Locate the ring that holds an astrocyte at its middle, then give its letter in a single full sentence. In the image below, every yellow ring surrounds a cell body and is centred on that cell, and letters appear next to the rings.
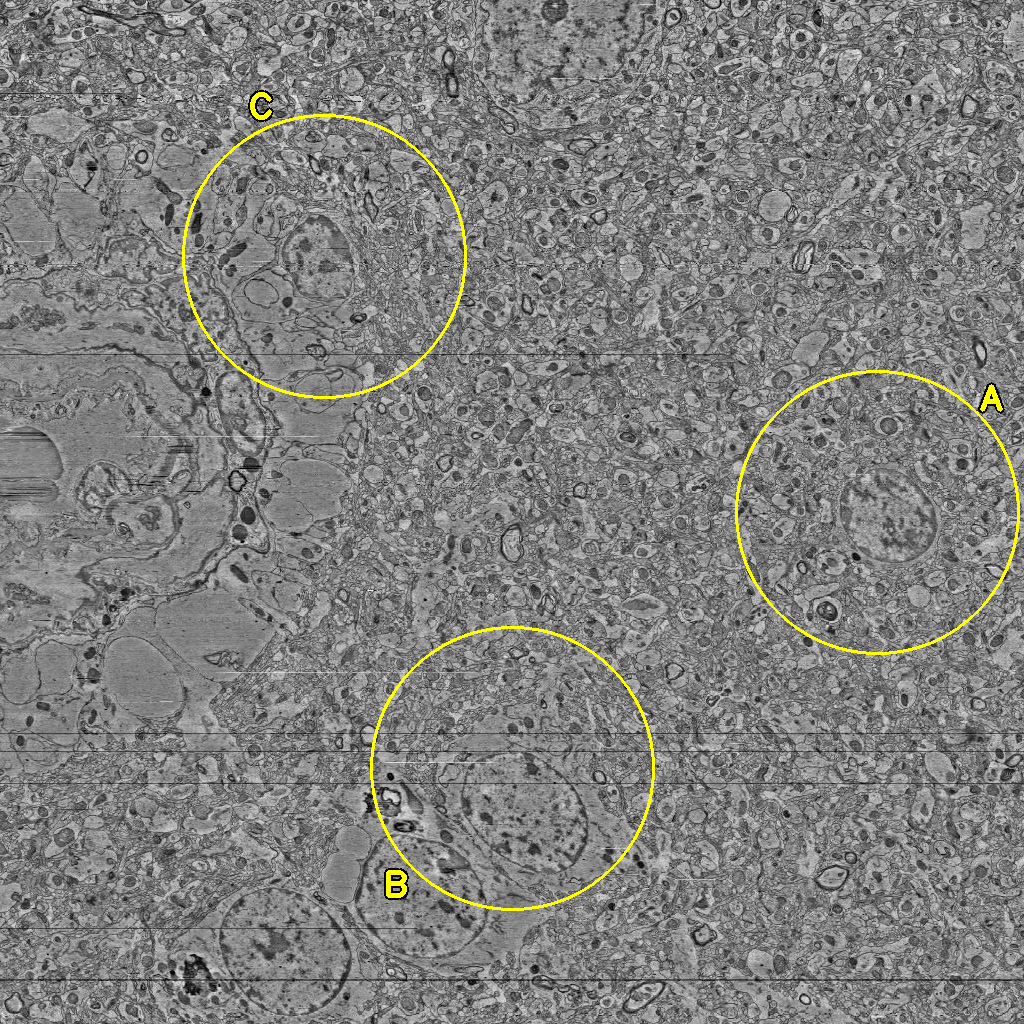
Ring B is the one centred on that kind of cell in the image.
